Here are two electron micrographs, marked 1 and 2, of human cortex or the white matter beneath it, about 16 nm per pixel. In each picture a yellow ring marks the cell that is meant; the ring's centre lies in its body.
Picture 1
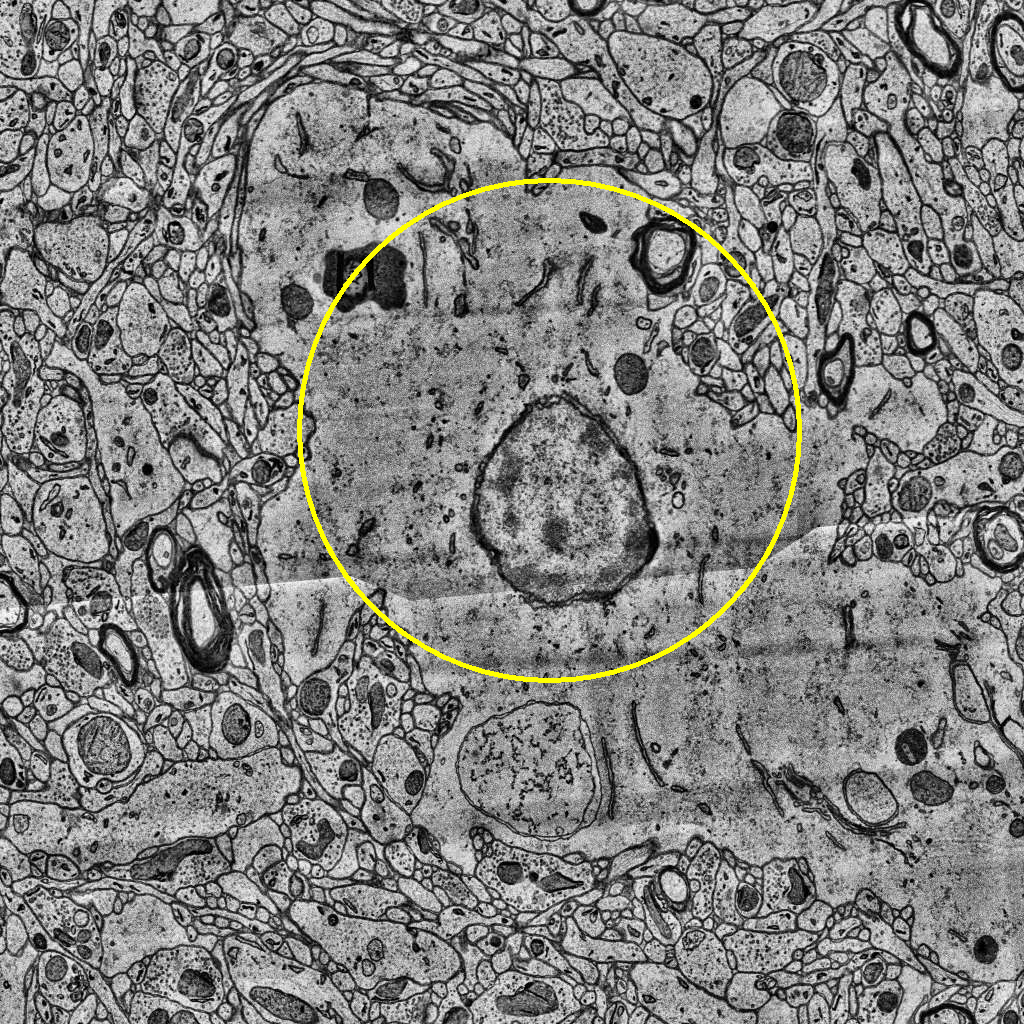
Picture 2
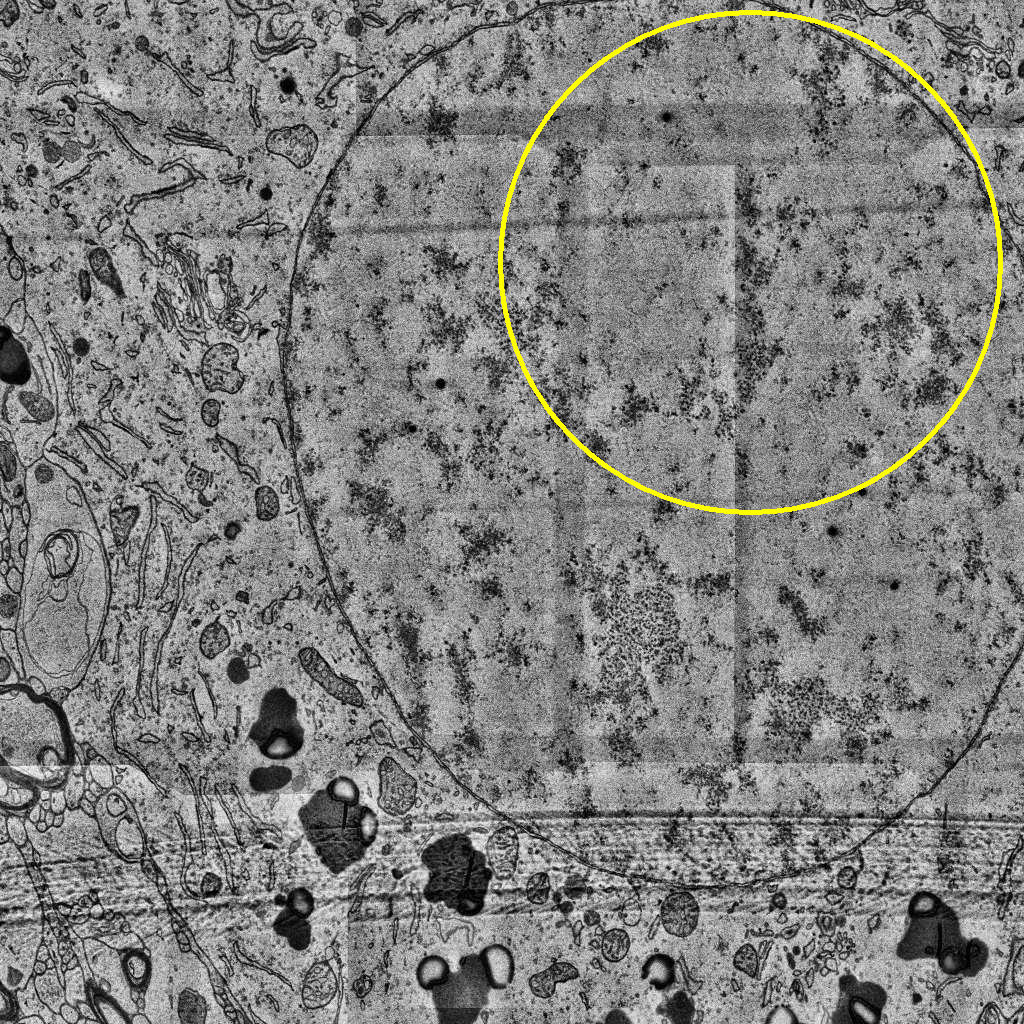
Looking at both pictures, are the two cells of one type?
No, they differ: the cell is an astrocyte in picture 1 and a pyramidal neuron in picture 2.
